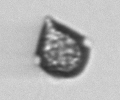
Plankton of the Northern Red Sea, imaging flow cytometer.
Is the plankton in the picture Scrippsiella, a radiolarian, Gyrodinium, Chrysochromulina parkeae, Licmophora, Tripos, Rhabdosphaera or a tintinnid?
It is Scrippsiella.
